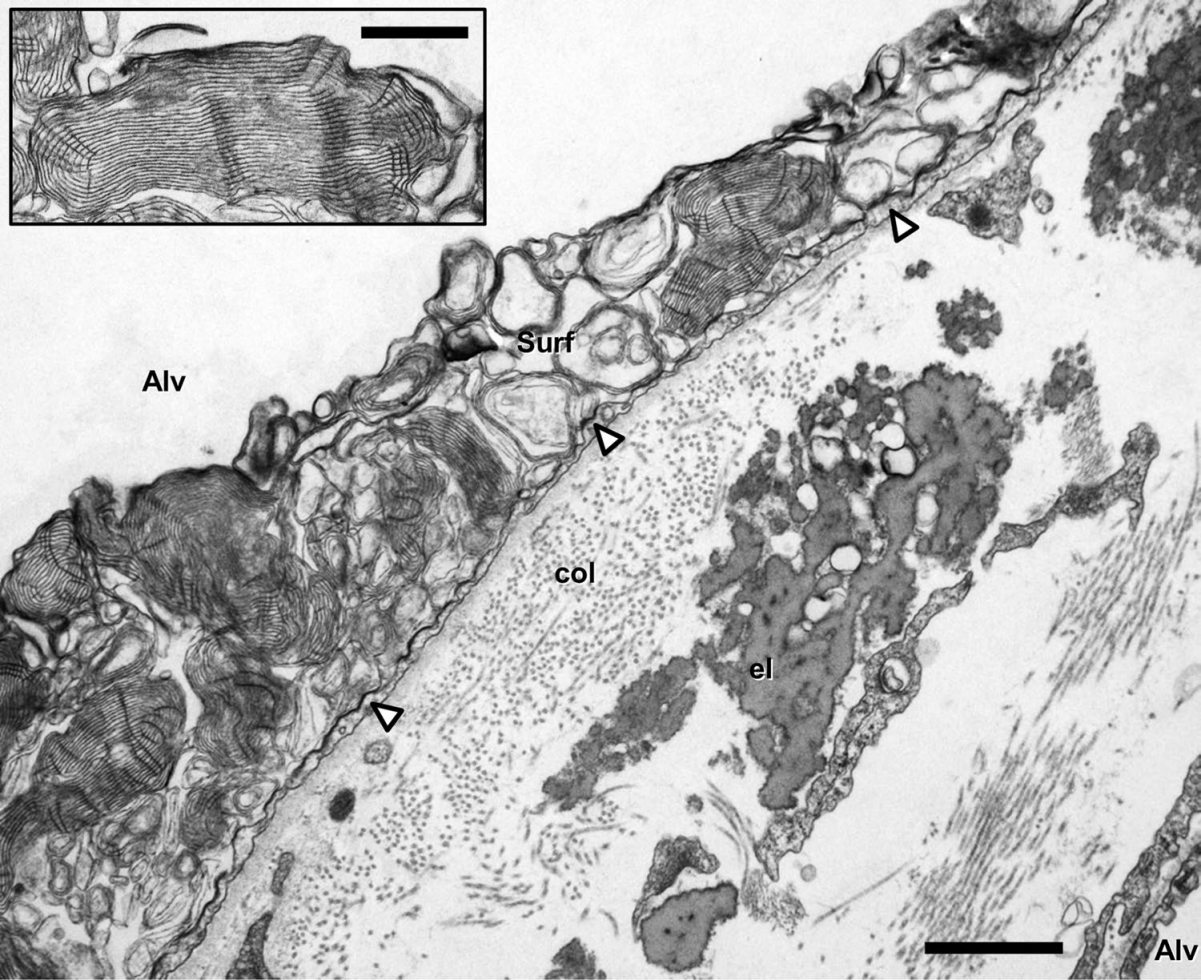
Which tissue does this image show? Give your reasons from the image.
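A thin wall runs diagonally between two empty airspaces. The wall core holds bundles of fine fibrils and dark amorphous fiber masses. One surface is lined by a thin epithelial sheet covered with layered membranous material. On this evidence: Inter-alveolar septum.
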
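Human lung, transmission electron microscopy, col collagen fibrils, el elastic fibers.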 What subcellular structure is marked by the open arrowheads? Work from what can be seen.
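The arrowheads point to a very thin continuous cytoplasmic sheet lining the airspace side of the wall. The sheet lies between the layer of membranous material facing the airspace and the fibrous interstitium. So: thin type I cell extension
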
